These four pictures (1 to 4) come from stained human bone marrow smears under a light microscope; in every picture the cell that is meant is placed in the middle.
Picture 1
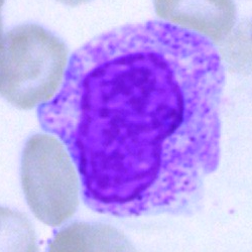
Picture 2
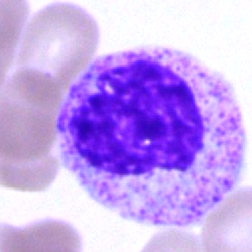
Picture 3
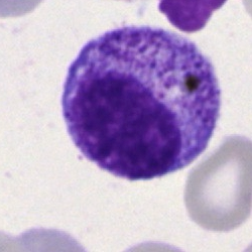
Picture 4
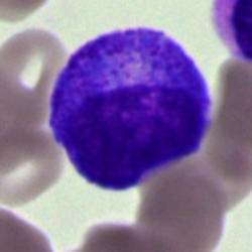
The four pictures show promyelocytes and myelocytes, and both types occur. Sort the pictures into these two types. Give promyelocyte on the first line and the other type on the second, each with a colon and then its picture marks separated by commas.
promyelocyte: 4
myelocyte: 1, 2, 3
